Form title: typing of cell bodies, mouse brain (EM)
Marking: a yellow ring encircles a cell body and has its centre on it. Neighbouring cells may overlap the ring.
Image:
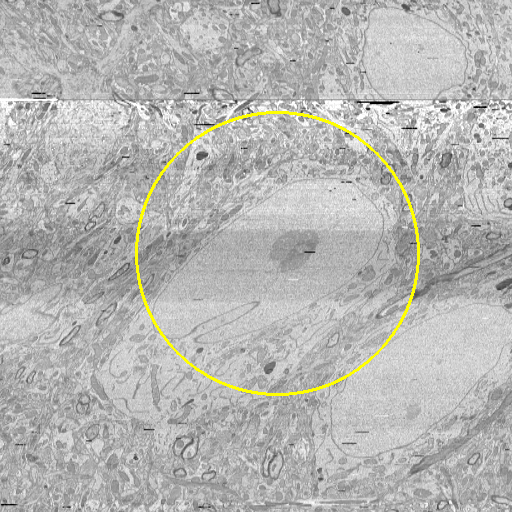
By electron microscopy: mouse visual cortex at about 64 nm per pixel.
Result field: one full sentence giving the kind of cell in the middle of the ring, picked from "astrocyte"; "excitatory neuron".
In the picture, the ring is centred on an excitatory neuron, whose cell body it encircles.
